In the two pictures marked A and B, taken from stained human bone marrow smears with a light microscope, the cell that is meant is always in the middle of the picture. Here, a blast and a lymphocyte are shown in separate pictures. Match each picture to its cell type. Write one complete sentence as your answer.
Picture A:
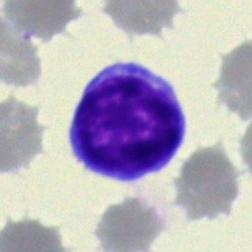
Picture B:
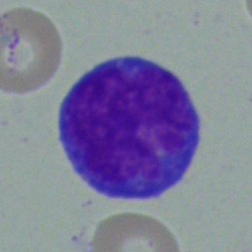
Picture B shows a blast, while picture A shows a lymphocyte.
